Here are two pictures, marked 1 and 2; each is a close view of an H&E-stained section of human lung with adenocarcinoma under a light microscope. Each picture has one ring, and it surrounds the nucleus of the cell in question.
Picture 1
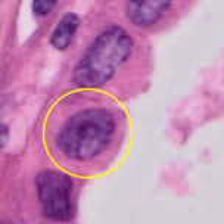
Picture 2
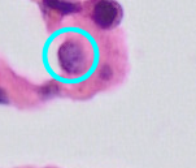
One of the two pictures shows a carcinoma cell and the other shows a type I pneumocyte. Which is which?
1: carcinoma cell
2: type I pneumocyte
